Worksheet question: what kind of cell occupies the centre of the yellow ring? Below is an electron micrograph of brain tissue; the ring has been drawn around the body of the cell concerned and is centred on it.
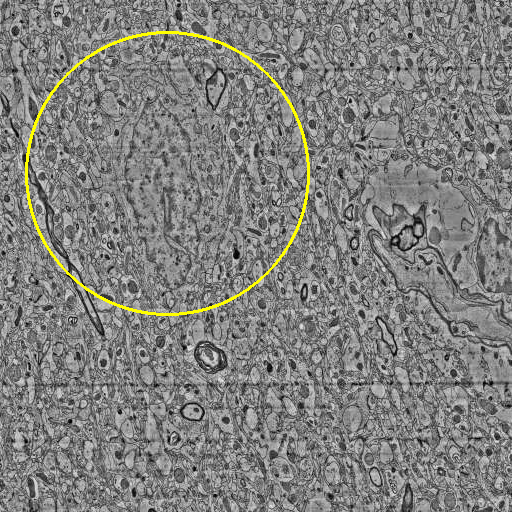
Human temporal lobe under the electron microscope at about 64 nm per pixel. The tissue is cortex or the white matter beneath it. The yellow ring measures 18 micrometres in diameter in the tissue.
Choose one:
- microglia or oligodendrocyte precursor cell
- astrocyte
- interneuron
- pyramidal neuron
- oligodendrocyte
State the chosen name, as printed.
interneuron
